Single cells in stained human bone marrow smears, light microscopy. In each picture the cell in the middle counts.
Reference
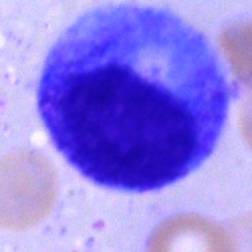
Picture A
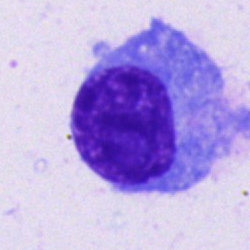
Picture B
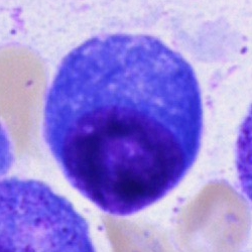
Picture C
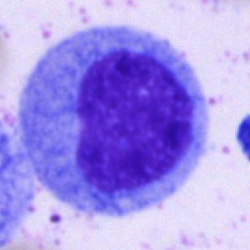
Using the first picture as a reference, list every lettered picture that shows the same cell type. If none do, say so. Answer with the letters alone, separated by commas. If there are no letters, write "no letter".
C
